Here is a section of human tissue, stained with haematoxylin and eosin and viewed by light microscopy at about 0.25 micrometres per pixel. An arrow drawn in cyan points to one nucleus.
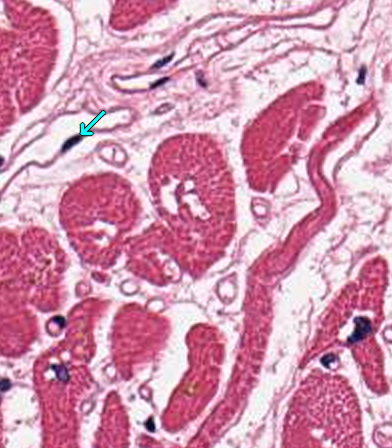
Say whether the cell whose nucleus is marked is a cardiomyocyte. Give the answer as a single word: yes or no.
no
